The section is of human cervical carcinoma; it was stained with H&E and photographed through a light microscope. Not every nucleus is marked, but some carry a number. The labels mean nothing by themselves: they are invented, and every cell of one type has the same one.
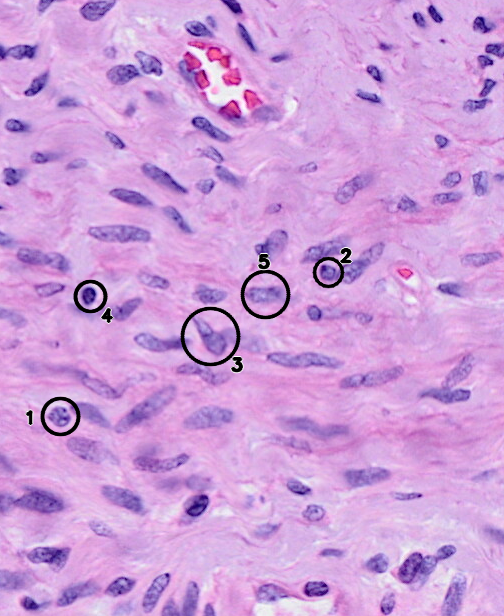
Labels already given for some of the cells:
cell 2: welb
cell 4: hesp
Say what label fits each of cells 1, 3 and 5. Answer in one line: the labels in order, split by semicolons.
hesp; welb; welb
